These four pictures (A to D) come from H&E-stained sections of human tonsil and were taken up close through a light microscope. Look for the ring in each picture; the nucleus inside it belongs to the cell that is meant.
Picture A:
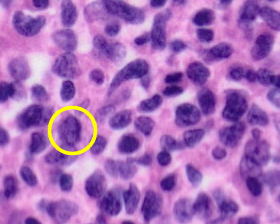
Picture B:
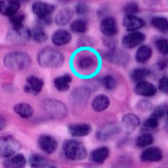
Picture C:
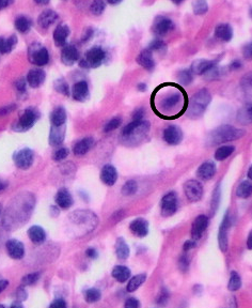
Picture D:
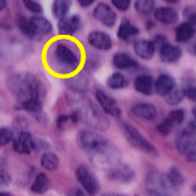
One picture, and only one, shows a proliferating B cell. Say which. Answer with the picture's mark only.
A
